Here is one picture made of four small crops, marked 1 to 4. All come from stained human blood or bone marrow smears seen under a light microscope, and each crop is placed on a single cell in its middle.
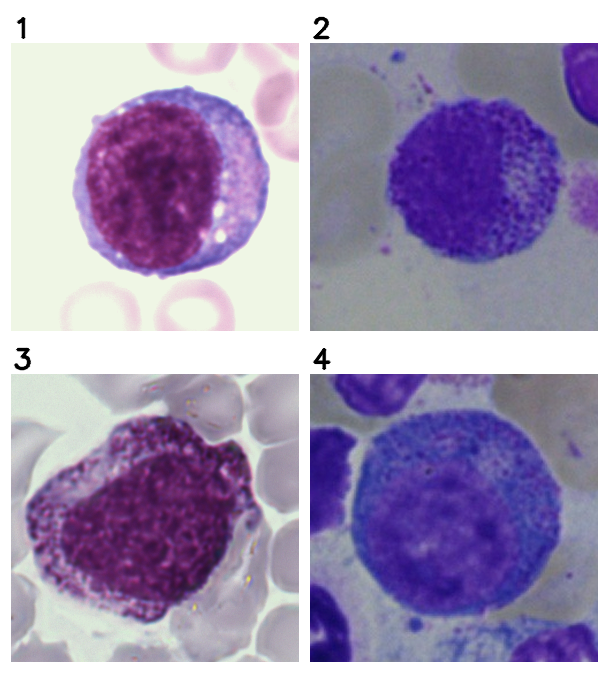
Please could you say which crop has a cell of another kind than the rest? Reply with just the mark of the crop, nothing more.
2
